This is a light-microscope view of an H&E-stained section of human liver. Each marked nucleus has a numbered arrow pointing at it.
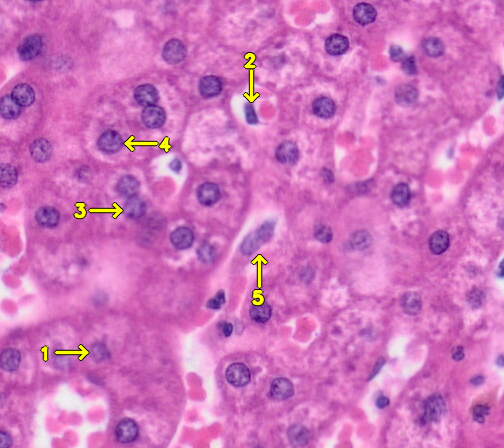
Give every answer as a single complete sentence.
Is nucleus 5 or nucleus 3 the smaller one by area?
It is nucleus 3; nucleus 5 has about 2 times its area.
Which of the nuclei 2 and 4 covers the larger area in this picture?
Of the two, number 4 is bigger and takes up about 1.5 times the area of number 2.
